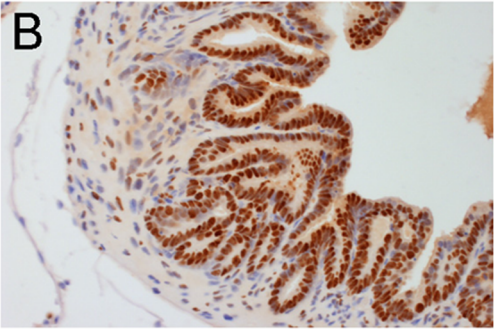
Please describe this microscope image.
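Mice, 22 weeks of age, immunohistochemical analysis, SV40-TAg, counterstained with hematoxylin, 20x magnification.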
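A prostate gland whose epithelial lining is crowded and thrown into many folds projecting into the lumen, the tall epithelial cells piled up with their oval nuclei stained intensely brown. The crowded, folded epithelium is a histological change of the prostate lining.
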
